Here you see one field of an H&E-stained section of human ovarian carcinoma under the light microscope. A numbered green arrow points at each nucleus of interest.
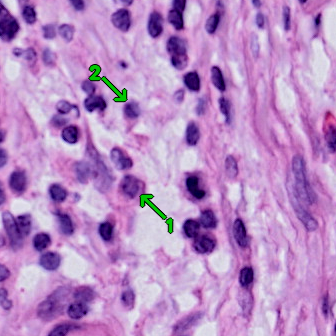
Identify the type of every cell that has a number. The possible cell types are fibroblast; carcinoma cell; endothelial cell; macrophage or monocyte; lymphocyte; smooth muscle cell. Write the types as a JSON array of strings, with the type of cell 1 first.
["macrophage or monocyte", "lymphocyte"]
